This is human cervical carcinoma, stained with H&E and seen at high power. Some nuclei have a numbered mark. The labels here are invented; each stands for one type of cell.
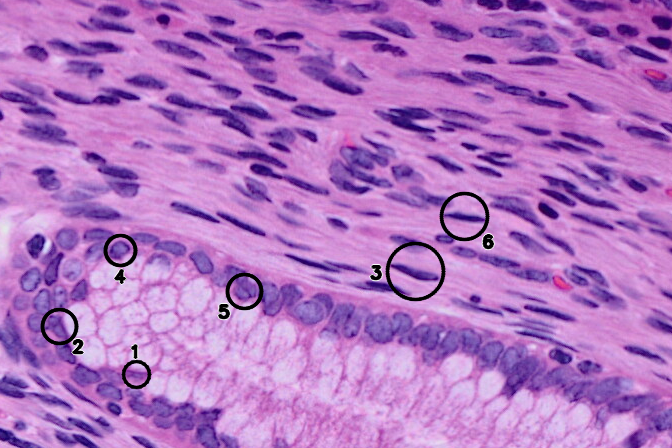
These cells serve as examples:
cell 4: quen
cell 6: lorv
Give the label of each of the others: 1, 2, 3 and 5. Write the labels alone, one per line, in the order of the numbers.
quen
quen
lorv
quen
